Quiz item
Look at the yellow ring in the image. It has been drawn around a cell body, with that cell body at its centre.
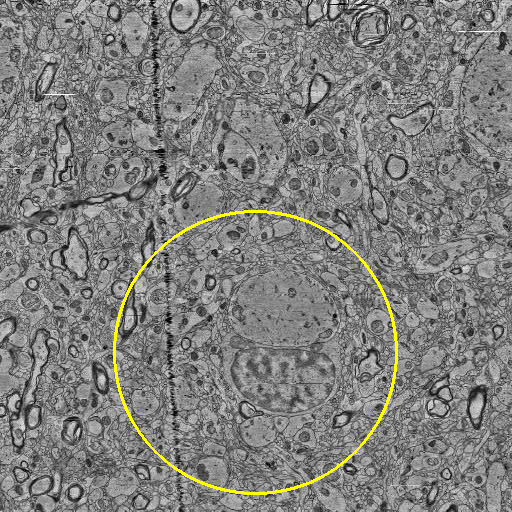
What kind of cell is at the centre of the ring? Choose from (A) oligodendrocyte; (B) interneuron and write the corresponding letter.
A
